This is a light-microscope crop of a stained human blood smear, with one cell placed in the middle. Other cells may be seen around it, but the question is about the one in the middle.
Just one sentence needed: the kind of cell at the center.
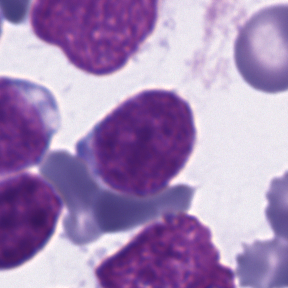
Looking at the middle of the crop, the cell there is a myeloblast.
